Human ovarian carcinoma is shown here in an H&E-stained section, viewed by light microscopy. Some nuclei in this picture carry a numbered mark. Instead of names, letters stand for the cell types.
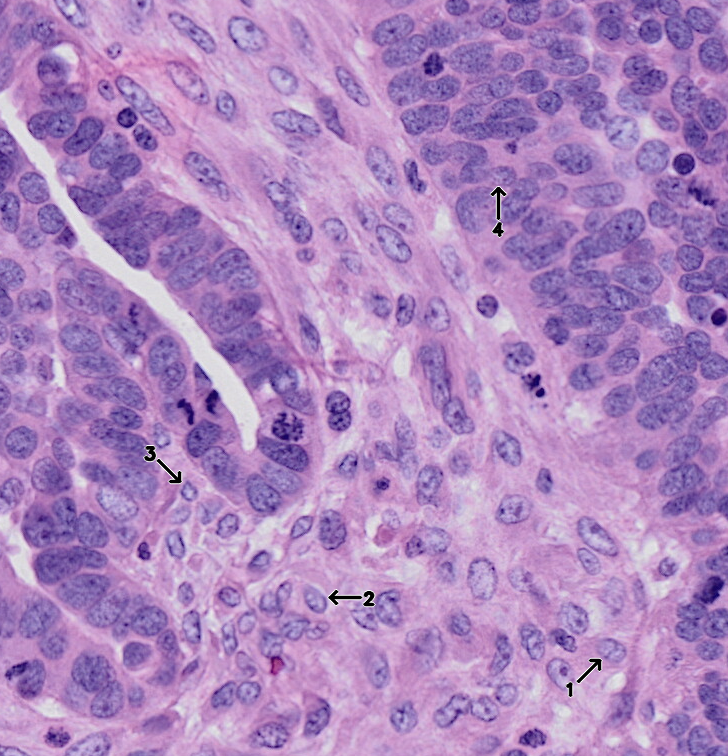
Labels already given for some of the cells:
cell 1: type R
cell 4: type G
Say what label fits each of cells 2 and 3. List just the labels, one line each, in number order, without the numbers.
type R
type R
